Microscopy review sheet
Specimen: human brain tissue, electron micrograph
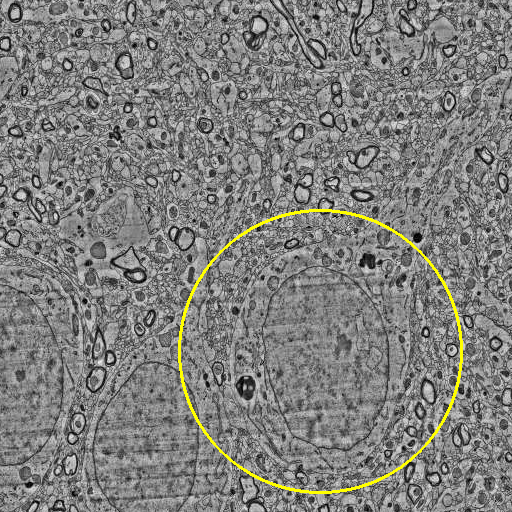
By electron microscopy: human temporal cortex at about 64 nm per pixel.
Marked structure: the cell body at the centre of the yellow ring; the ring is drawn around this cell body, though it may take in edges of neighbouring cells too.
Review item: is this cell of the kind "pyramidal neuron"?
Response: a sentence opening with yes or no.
Yes, this cell is of that kind.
